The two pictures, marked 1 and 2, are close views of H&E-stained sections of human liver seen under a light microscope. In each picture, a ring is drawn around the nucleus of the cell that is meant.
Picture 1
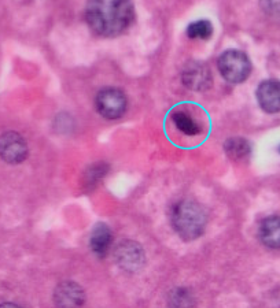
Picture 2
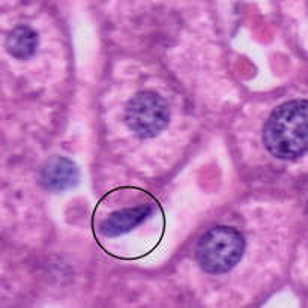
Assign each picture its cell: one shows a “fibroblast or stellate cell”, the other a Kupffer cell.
1: fibroblast or stellate cell
2: Kupffer cell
